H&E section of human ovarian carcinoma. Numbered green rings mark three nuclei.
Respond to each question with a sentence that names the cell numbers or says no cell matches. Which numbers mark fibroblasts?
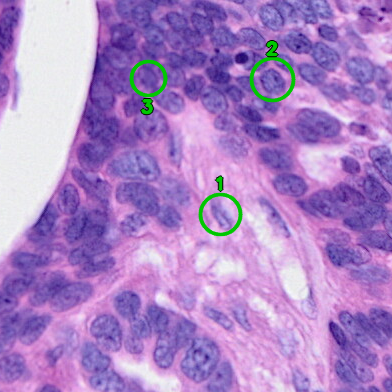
Whereas cell 1 is a fibroblast, the other numbered cells are not.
